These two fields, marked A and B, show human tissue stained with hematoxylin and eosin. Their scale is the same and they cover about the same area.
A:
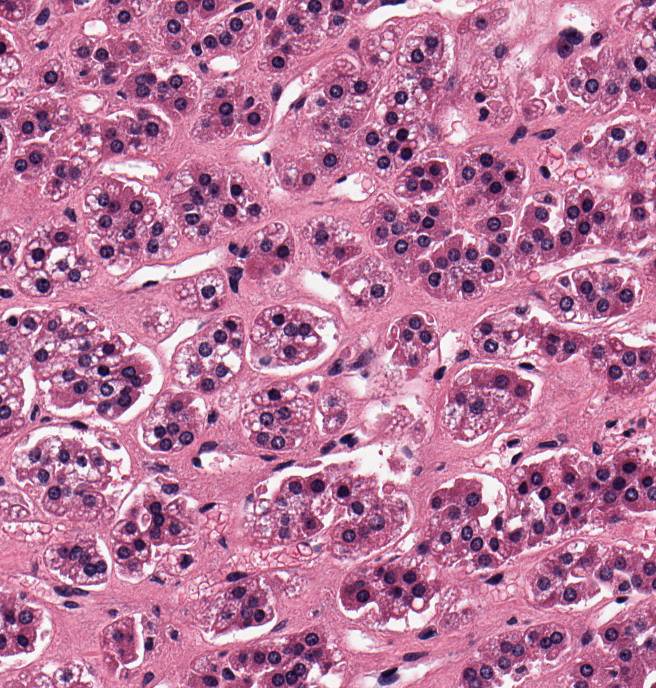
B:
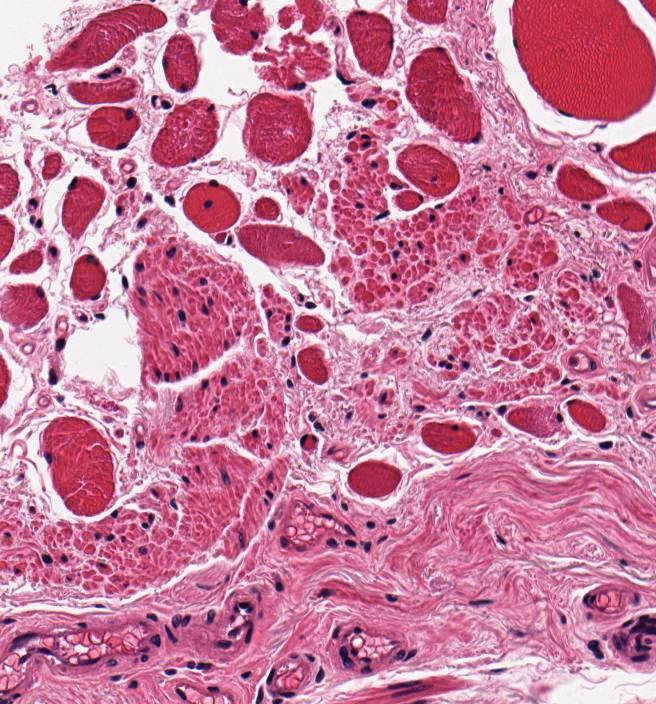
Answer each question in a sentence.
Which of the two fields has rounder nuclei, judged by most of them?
On the whole the nuclei of field A are rounder than those of field B.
